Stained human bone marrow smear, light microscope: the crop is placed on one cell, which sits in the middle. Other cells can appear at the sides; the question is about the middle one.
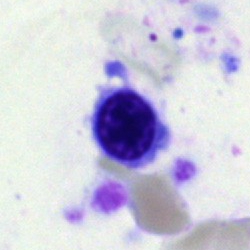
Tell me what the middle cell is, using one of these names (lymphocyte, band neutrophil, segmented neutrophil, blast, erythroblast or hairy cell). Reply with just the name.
erythroblast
